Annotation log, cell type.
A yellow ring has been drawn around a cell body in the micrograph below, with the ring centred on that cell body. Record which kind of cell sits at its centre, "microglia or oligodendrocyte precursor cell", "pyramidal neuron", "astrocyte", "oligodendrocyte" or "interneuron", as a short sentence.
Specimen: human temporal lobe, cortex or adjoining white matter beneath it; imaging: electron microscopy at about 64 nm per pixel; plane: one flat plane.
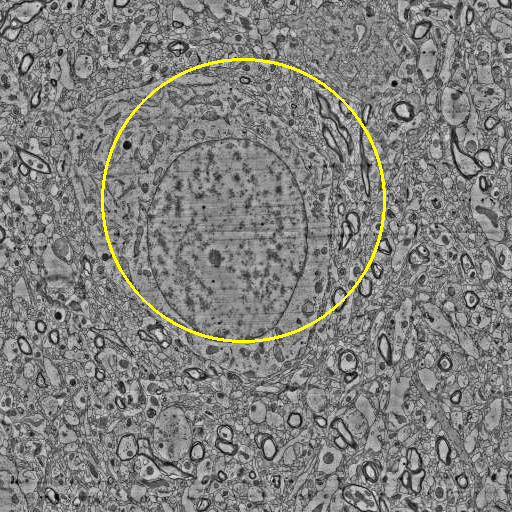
The cell at the centre of this ring is an interneuron.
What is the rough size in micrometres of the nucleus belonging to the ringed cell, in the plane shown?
In this plane the nucleus is about 13 micrometres by 10.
